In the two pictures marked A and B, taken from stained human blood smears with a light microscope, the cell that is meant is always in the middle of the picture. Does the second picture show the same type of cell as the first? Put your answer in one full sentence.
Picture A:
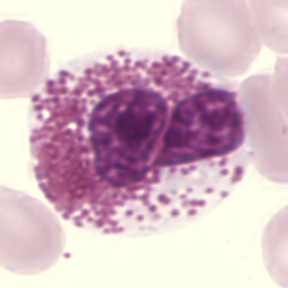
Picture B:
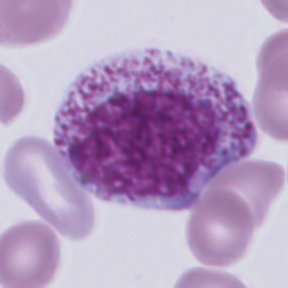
No, they differ: the cell is an eosinophil in picture A and a myelocyte in picture B.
